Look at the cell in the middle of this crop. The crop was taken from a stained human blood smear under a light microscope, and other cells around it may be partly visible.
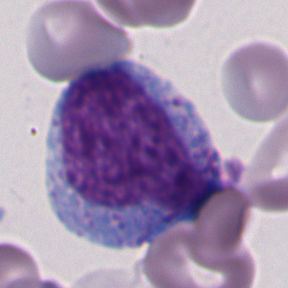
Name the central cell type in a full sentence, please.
The center cell of this crop is a promyelocyte.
